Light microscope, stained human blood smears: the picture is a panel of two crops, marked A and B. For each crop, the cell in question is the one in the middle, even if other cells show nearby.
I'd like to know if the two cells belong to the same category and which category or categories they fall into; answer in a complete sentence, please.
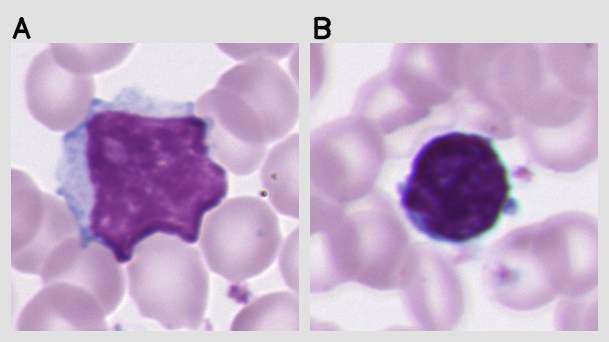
Yes, the cells that the two crops centre on are typical lymphocytes.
